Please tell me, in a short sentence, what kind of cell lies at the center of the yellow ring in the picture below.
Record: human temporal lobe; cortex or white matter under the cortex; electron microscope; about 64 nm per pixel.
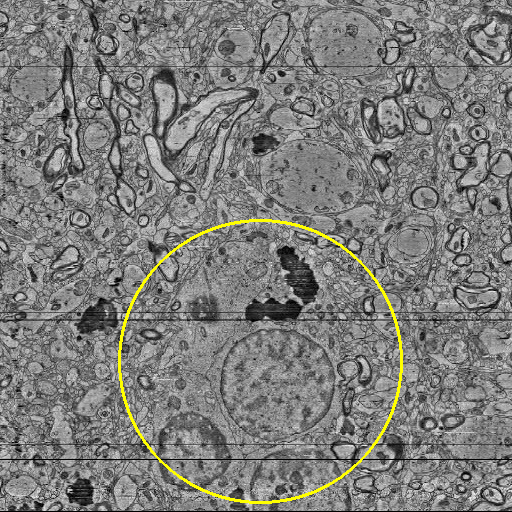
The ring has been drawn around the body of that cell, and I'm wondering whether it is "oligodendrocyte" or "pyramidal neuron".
The cell at the center of the ring is an oligodendrocyte.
